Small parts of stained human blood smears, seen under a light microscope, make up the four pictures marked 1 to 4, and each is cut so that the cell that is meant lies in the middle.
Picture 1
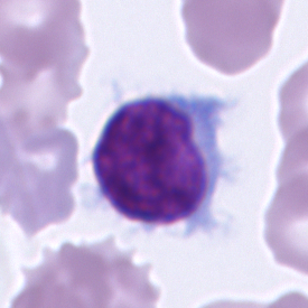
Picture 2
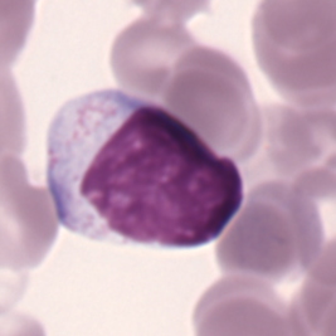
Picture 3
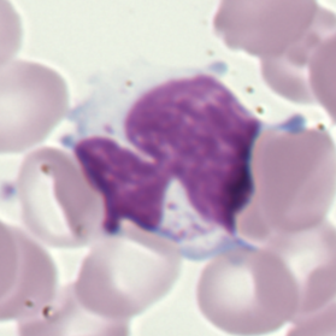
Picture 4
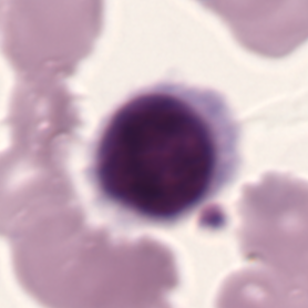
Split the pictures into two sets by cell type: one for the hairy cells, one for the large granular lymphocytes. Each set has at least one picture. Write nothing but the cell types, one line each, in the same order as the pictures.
hairy cell
large granular lymphocyte
large granular lymphocyte
hairy cell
